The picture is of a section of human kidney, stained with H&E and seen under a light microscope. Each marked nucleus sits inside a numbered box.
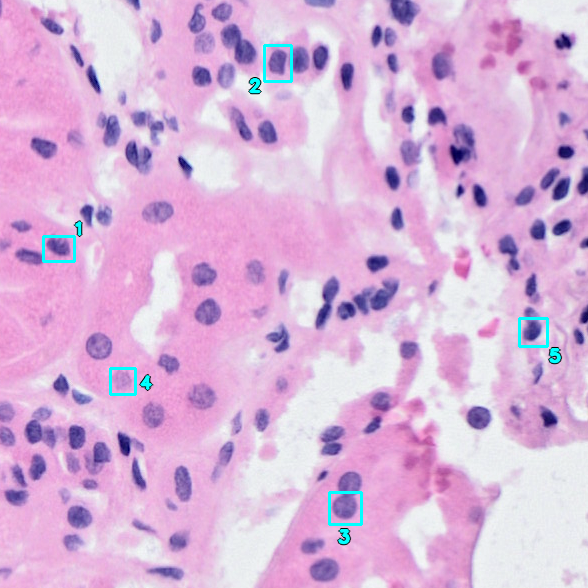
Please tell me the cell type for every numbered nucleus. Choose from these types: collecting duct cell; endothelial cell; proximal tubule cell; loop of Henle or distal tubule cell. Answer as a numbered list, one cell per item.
1. proximal tubule cell
2. collecting duct cell
3. proximal tubule cell
4. proximal tubule cell
5. endothelial cell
